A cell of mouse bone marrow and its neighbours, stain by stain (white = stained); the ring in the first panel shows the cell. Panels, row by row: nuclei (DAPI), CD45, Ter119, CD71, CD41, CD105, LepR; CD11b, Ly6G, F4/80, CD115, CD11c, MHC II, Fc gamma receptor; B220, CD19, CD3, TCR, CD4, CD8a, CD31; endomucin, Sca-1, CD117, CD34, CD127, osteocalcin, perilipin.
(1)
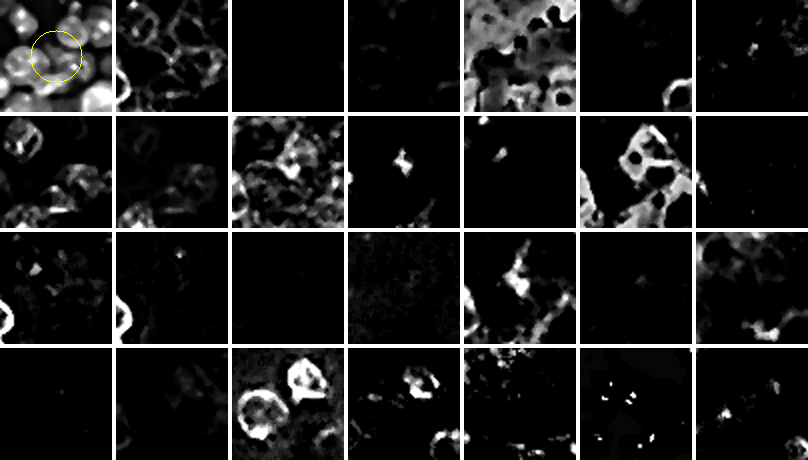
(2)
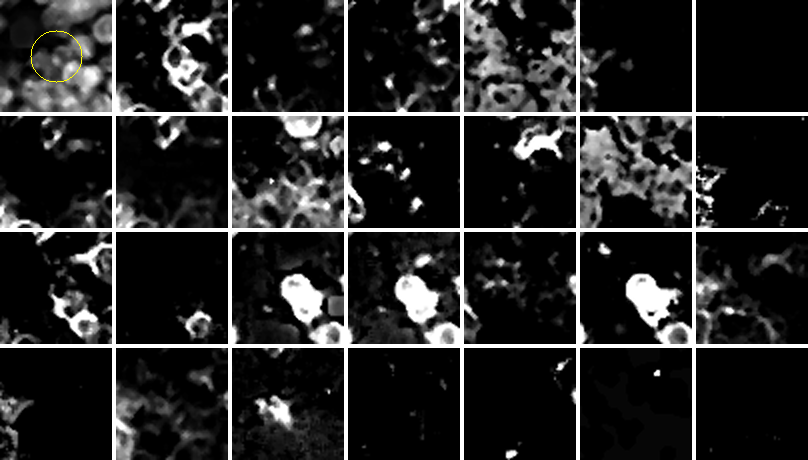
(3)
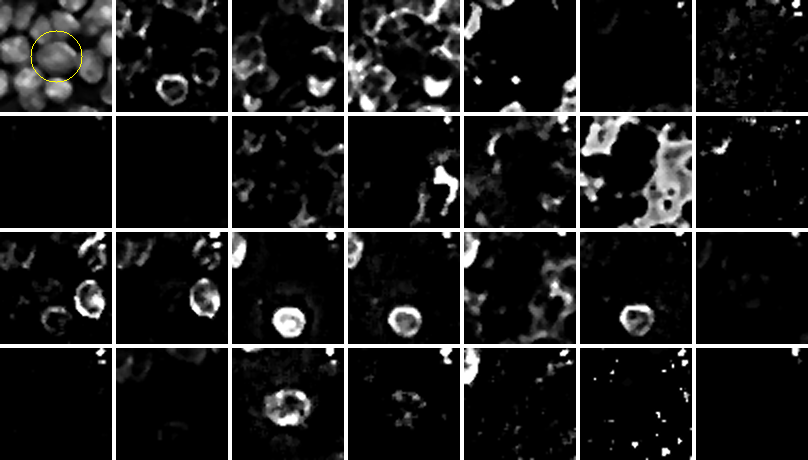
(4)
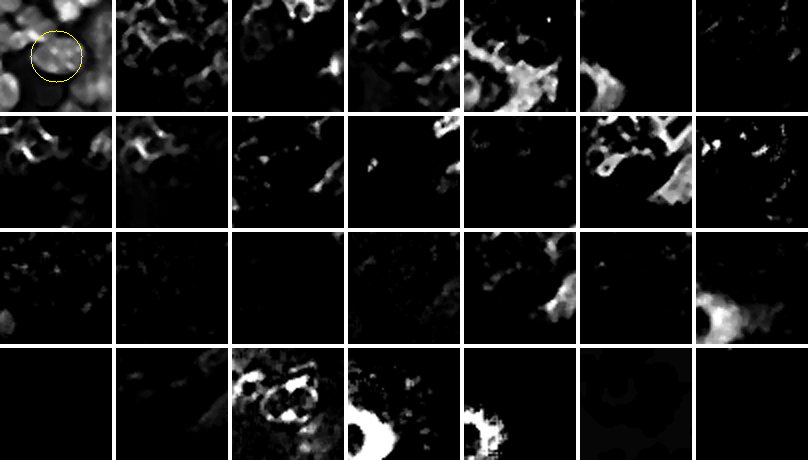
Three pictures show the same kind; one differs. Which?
Picture 2: a double-negative T cell, while the others are megakaryocyte-erythroid progenitors.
